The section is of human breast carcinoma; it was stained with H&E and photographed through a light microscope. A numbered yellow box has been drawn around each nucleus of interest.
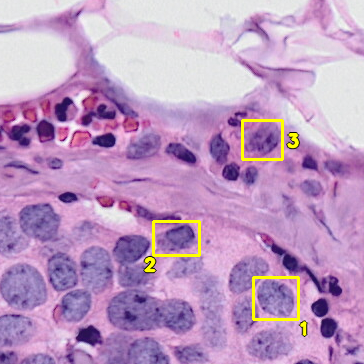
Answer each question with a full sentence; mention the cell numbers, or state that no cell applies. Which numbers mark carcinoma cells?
The cells 1 and 2 in this section are carcinoma cells.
